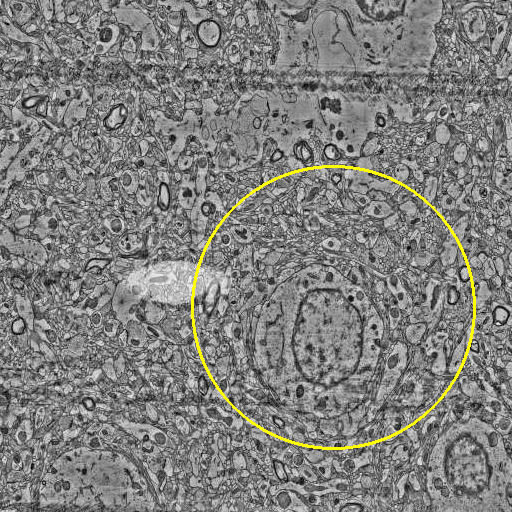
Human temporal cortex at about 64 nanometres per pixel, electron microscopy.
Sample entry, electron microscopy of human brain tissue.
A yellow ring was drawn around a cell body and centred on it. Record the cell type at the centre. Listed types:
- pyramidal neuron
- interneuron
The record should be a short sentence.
The cell at the ring's centre is a pyramidal neuron.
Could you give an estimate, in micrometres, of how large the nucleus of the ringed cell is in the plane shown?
Roughly 6 micrometres by 5 micrometres, in this plane.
